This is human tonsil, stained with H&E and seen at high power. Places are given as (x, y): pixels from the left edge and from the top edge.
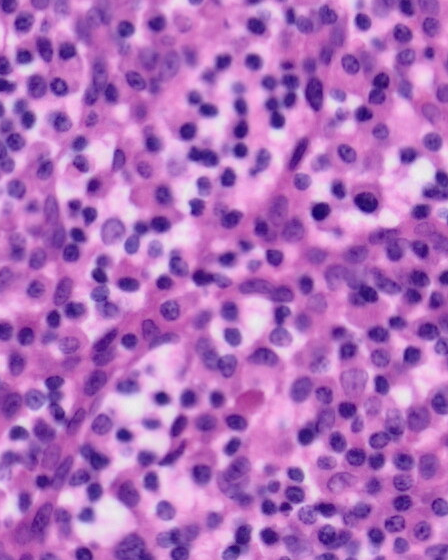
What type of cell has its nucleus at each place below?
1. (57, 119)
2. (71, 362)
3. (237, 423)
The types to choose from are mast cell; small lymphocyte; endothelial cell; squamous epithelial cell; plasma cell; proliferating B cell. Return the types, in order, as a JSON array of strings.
["plasma cell", "squamous epithelial cell", "plasma cell"]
